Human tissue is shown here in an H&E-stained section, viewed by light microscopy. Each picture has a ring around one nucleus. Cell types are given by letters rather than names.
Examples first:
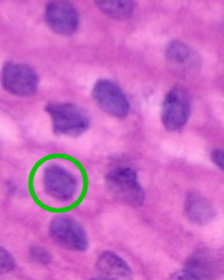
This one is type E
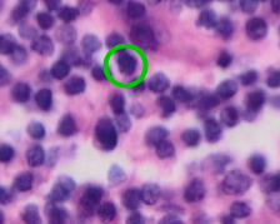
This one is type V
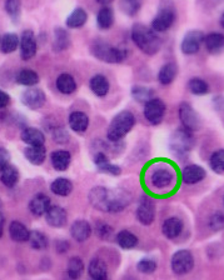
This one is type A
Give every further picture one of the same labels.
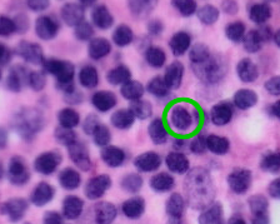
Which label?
type V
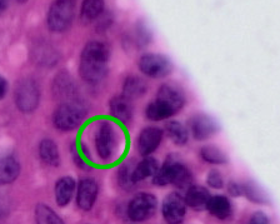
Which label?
type E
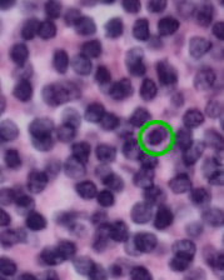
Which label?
type V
